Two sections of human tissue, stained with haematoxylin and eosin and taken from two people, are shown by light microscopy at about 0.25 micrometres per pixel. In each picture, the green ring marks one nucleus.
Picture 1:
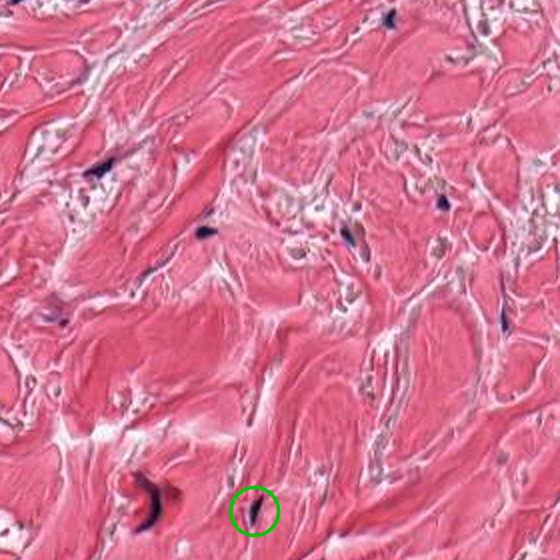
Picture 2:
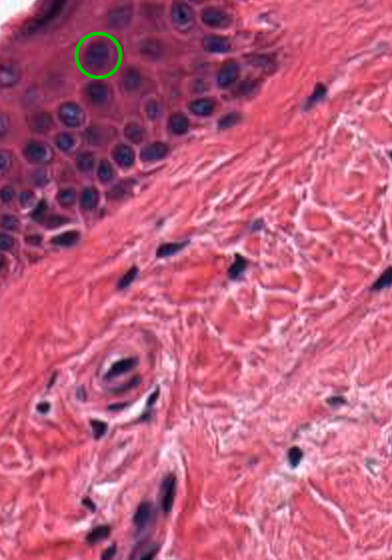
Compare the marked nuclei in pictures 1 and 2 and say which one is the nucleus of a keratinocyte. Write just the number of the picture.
2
